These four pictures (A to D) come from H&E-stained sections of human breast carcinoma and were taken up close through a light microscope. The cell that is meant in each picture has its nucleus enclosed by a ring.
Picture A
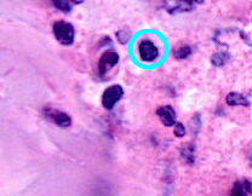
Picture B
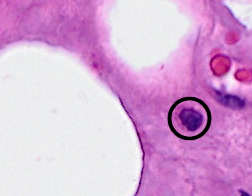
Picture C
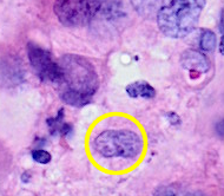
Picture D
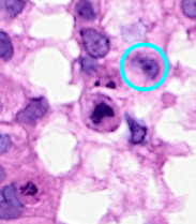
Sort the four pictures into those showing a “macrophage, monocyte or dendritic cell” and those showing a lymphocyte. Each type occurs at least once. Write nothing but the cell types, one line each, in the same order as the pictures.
lymphocyte
macrophage, monocyte or dendritic cell
macrophage, monocyte or dendritic cell
macrophage, monocyte or dendritic cell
